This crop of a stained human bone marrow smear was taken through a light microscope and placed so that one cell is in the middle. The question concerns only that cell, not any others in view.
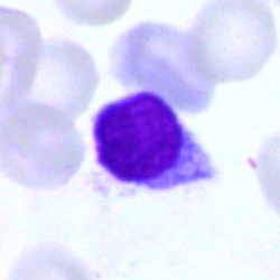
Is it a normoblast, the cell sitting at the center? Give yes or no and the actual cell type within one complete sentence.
No, the cell placed at the center is a lymphocyte rather than a normoblast.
